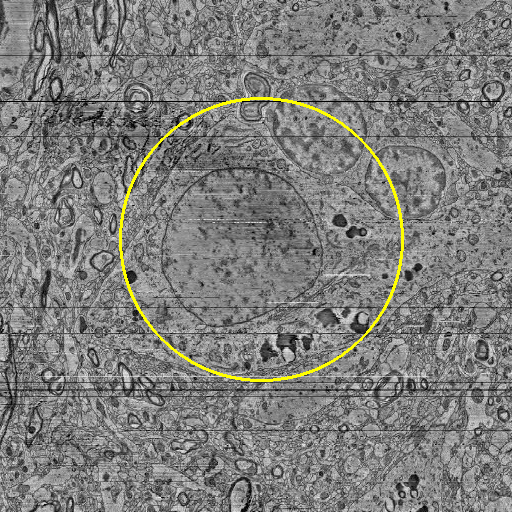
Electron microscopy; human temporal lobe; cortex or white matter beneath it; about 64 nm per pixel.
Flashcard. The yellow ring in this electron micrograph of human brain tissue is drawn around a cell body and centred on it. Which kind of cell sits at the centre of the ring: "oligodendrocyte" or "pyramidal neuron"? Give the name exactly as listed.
pyramidal neuron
